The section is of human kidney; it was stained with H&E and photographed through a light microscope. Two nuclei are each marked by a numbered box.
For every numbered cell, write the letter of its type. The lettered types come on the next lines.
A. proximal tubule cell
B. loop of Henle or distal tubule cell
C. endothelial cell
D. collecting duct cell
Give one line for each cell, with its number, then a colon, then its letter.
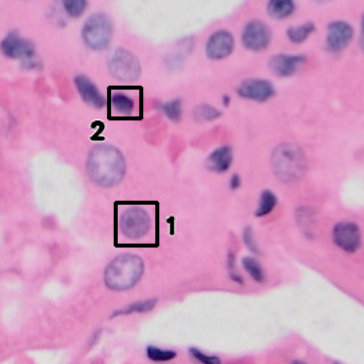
1: A
2: C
